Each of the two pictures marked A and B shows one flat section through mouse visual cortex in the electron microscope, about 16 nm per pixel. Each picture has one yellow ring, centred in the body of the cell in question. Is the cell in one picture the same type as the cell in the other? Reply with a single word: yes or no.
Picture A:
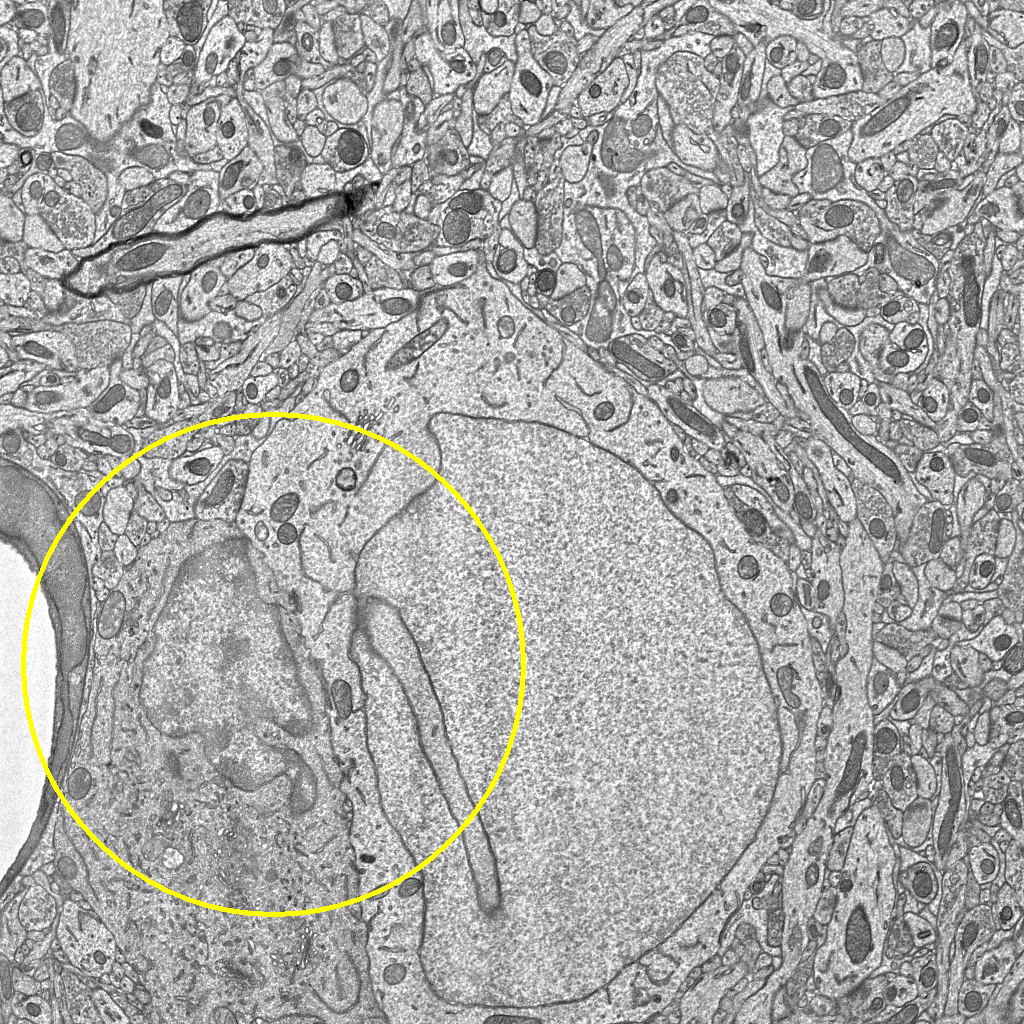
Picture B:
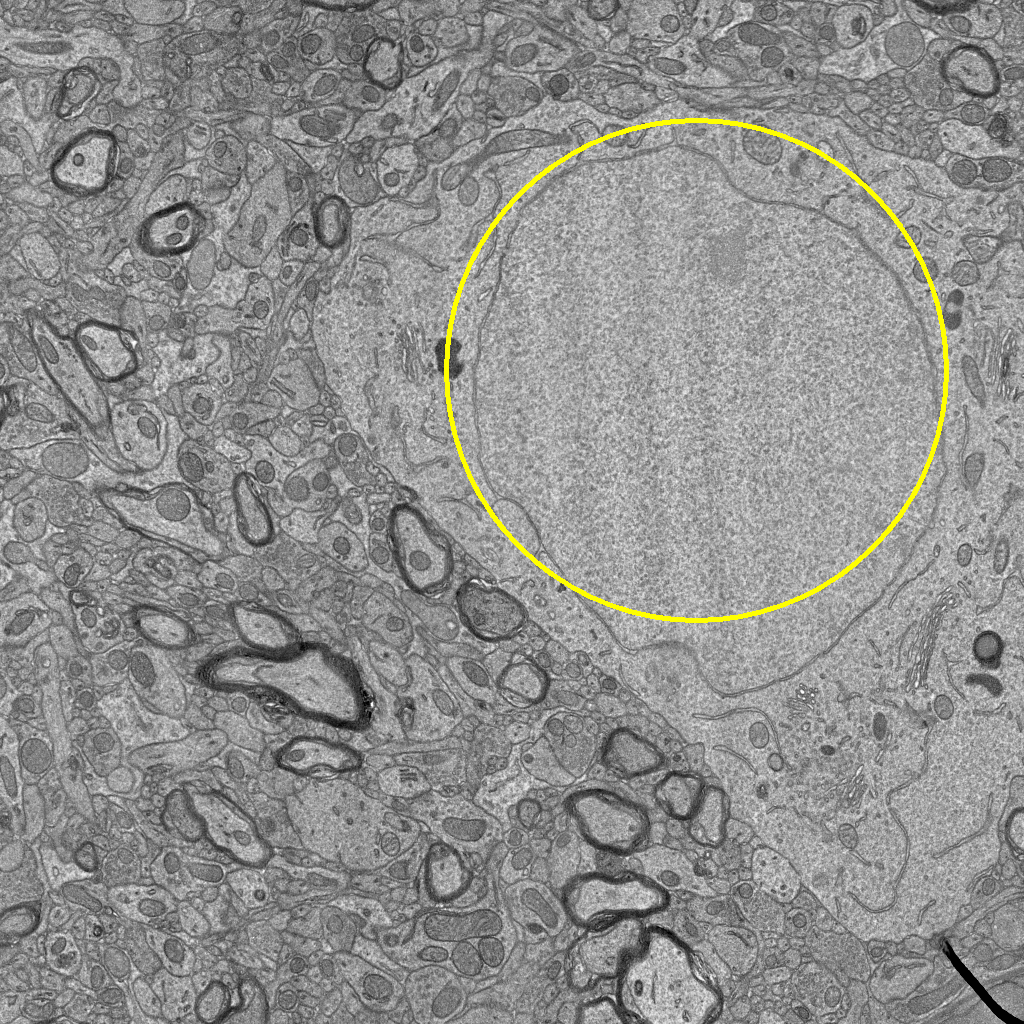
no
